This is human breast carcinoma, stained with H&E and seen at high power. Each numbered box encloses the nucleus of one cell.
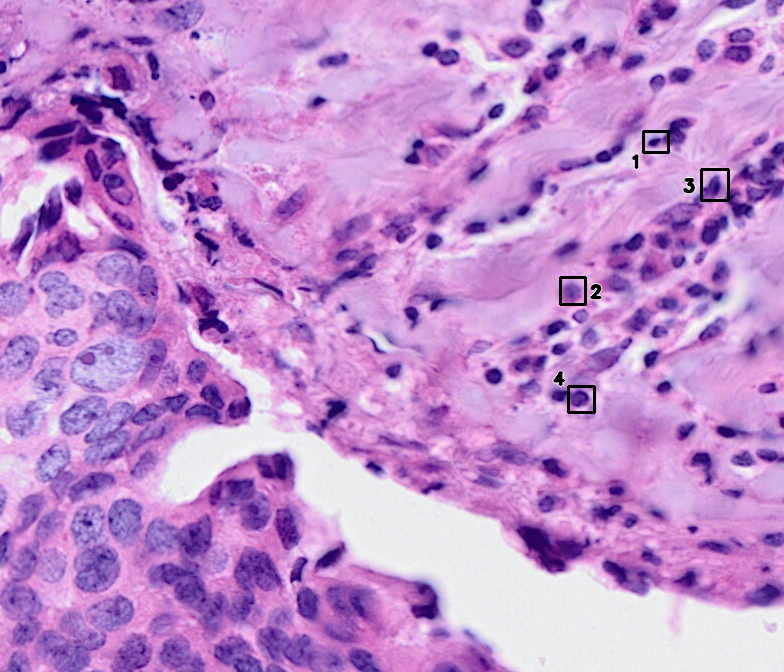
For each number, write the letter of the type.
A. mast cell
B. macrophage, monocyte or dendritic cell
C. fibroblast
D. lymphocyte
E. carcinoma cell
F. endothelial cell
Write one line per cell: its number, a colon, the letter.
1: D
2: A
3: D
4: D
